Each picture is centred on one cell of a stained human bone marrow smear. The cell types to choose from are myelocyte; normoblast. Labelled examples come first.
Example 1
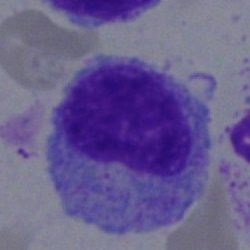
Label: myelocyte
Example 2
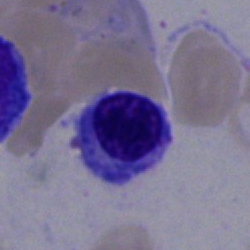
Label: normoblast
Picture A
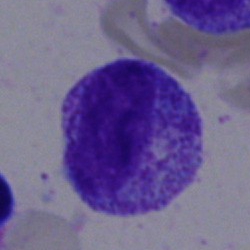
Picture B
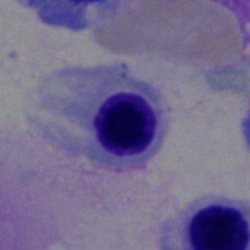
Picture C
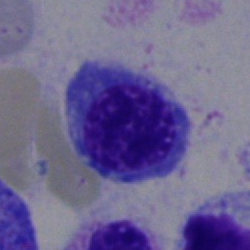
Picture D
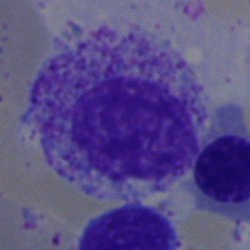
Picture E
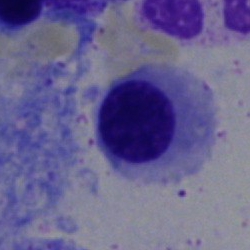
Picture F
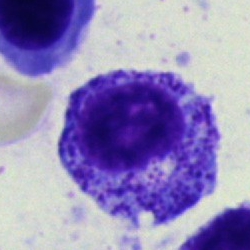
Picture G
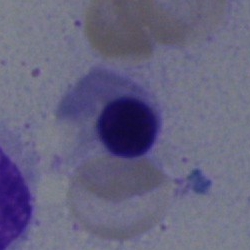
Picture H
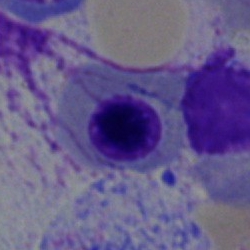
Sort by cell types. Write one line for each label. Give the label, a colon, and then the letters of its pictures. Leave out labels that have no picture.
myelocyte: A, D, F
normoblast: B, C, E, G, H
